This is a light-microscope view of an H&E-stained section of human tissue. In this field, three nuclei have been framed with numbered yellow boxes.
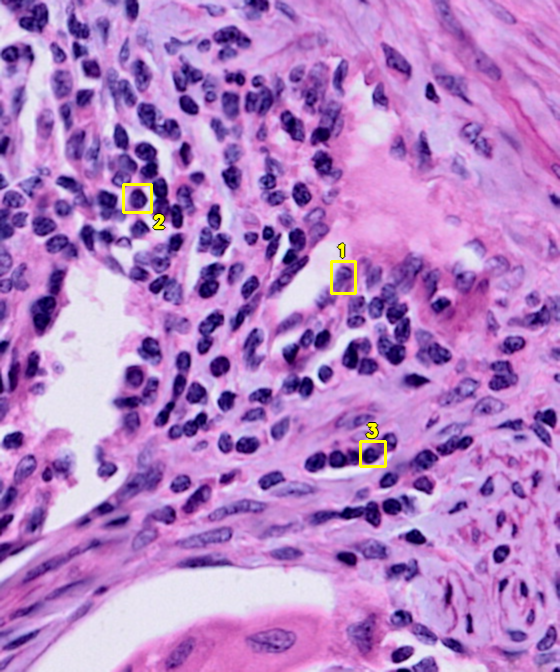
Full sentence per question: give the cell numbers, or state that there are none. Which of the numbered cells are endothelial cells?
Across all the numbered cells, only number 1 is an endothelial cell.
